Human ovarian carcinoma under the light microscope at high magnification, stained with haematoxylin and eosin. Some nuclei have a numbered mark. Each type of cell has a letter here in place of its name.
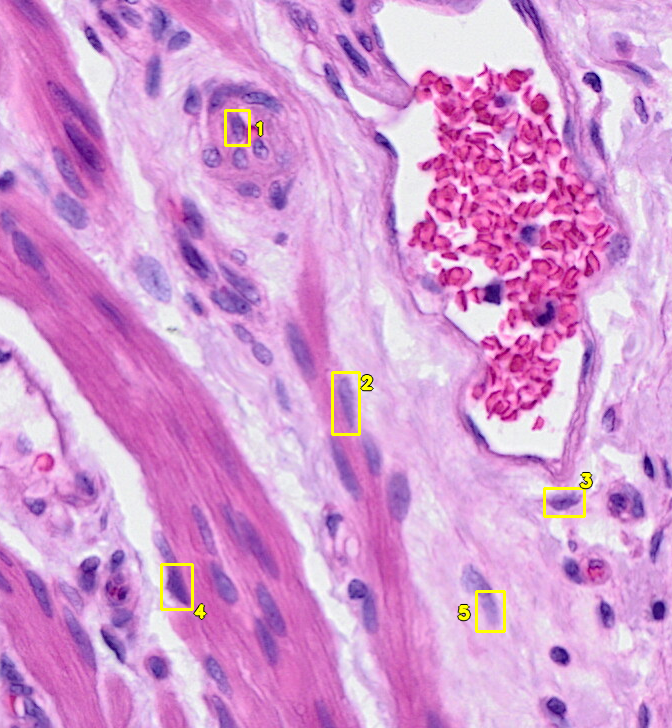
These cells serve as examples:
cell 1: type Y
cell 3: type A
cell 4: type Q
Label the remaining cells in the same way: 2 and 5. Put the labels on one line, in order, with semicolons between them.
type Q; type A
